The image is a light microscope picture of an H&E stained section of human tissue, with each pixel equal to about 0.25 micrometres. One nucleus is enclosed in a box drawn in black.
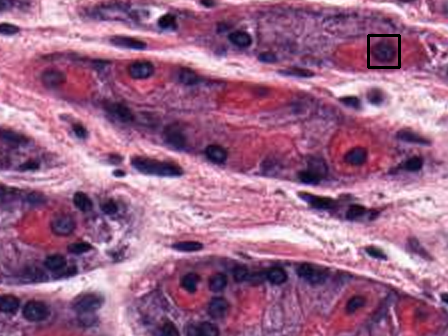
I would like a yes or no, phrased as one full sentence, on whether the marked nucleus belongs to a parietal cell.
Yes, the nucleus indicated by the marking belongs to a parietal cell.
